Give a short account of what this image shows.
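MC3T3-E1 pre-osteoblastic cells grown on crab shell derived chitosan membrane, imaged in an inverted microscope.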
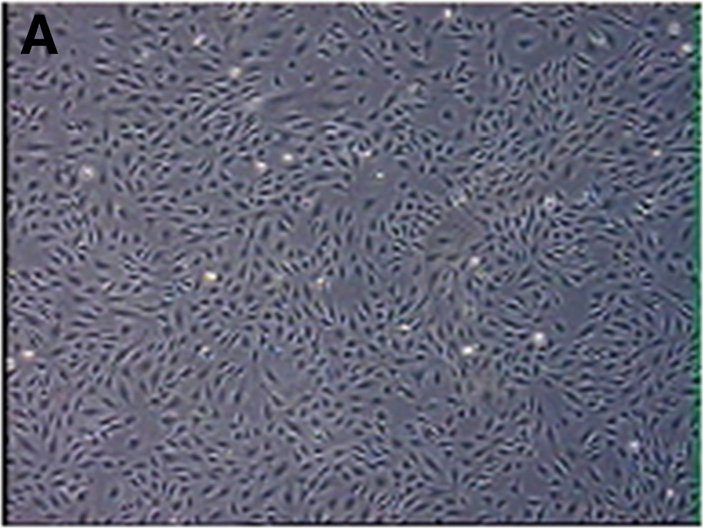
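Most cells are elongated to spindle-shaped and dark against the grey background, packed side by side in loose swirling streams. A few small, bright, round refractile cells lie scattered on top of the layer.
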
